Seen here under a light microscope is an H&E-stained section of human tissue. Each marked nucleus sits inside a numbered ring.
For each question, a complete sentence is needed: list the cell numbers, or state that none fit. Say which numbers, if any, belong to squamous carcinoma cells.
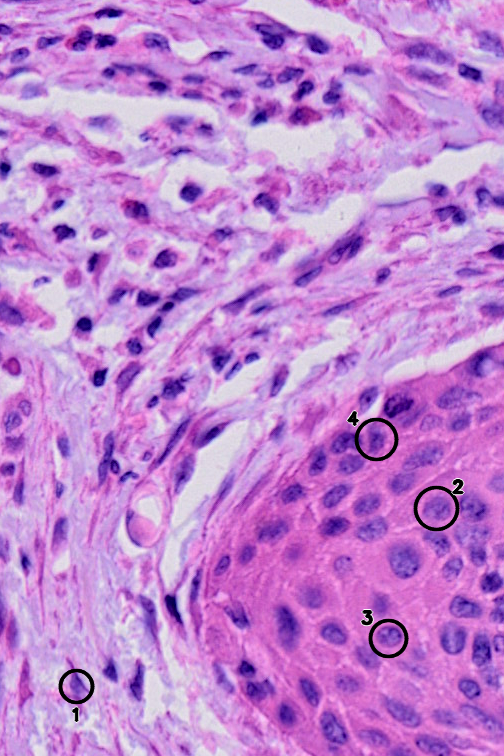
The cells numbered 2, 3 and 4 are typed as squamous carcinoma cells.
